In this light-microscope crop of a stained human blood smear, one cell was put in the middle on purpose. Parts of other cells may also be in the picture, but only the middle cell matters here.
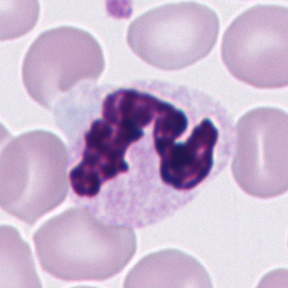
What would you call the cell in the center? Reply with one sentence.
In the middle of this smear crop, the cell is a neutrophil.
